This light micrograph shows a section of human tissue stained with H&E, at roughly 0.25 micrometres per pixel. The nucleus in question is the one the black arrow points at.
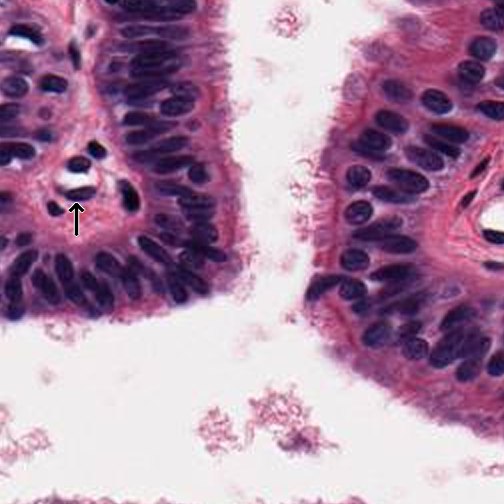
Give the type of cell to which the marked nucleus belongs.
endothelial cell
